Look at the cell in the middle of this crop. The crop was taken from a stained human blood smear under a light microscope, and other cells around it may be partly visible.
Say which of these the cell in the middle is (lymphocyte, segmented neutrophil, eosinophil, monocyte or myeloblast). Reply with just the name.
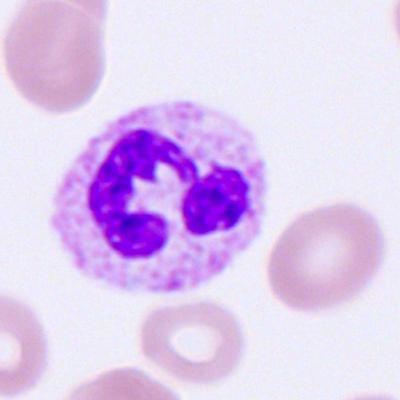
segmented neutrophil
